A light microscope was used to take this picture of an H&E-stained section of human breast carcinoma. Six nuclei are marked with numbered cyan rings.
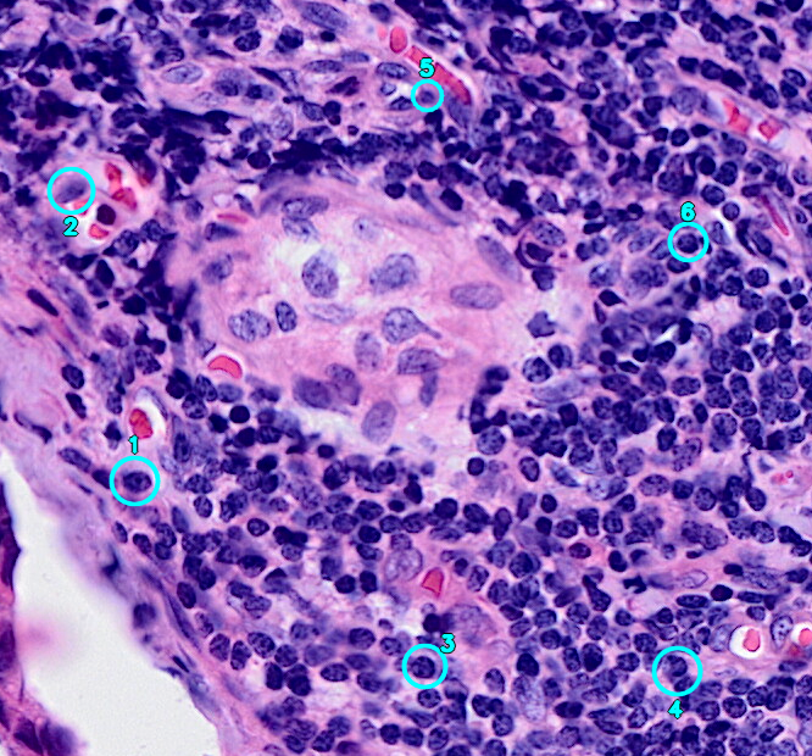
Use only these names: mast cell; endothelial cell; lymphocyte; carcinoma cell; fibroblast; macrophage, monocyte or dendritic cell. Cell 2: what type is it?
endothelial cell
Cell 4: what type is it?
lymphocyte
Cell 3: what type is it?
lymphocyte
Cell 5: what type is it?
endothelial cell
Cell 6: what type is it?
lymphocyte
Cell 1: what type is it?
lymphocyte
